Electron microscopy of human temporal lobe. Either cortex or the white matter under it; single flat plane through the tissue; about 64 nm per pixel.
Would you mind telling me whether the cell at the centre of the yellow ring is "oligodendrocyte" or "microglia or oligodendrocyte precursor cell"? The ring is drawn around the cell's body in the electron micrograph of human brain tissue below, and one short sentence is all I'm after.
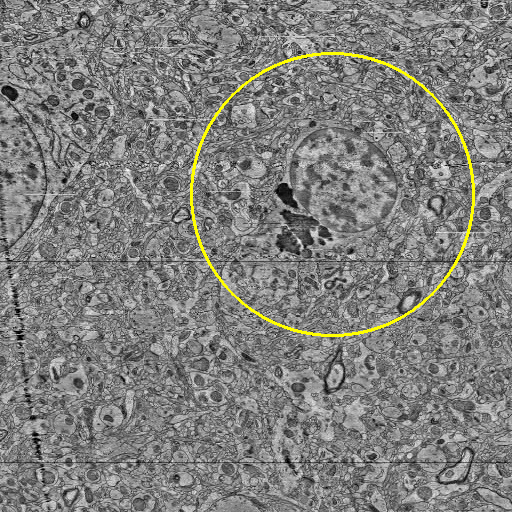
In the centre of the ring lies an oligodendrocyte.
